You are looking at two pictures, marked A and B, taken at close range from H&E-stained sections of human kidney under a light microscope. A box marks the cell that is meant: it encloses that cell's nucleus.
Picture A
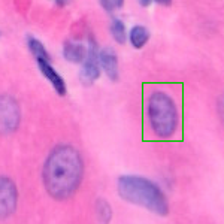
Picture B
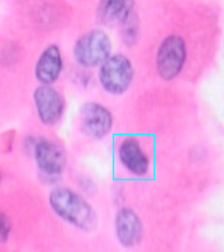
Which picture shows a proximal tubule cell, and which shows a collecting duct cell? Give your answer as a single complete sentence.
It is picture A that shows a proximal tubule cell, and picture B that shows a collecting duct cell.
